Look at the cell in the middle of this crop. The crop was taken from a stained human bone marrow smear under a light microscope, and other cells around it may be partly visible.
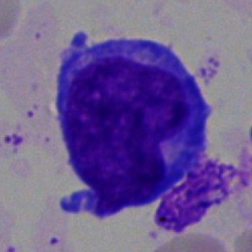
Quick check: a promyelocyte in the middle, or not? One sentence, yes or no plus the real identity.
No, rather than being a promyelocyte, the central cell is a blast.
